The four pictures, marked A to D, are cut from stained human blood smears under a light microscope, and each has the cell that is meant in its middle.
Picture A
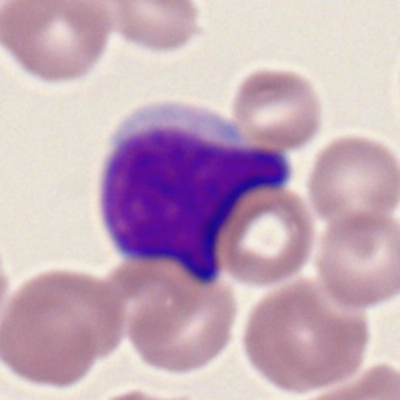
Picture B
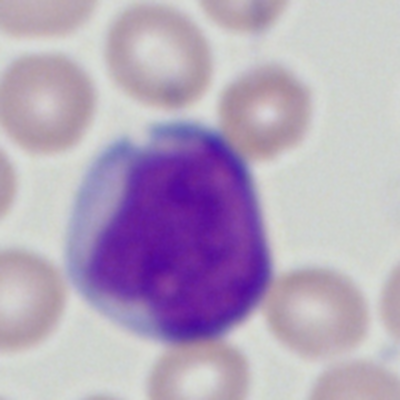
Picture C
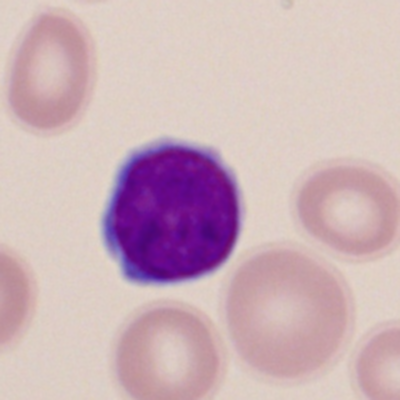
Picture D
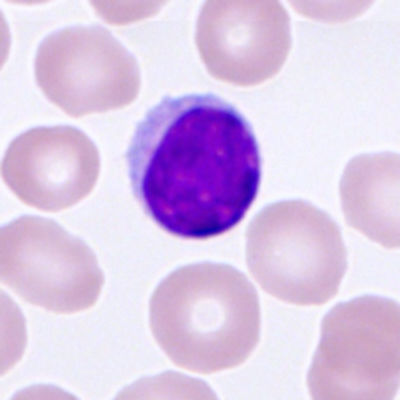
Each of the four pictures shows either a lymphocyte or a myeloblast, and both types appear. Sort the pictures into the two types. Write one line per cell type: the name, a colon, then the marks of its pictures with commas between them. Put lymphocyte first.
lymphocyte: C, D
myeloblast: A, B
